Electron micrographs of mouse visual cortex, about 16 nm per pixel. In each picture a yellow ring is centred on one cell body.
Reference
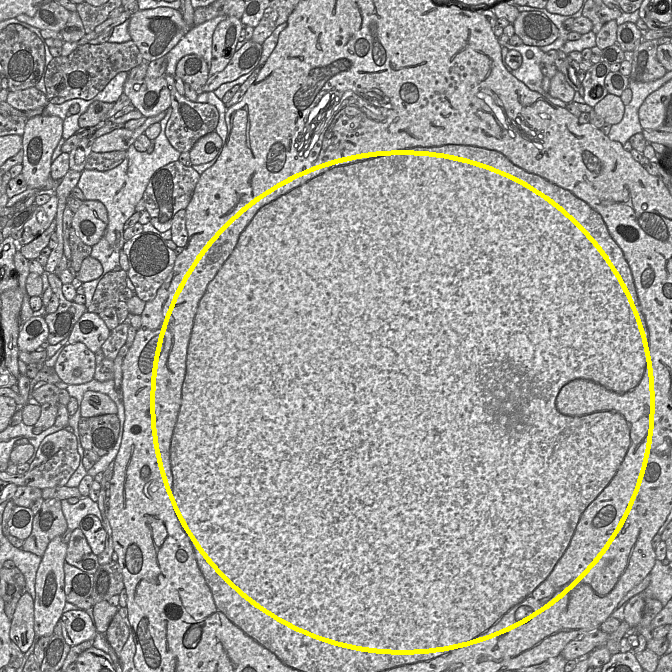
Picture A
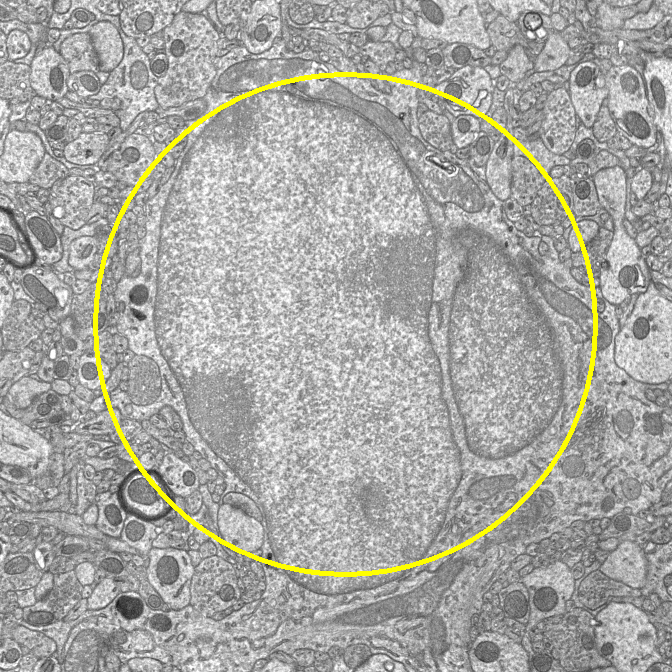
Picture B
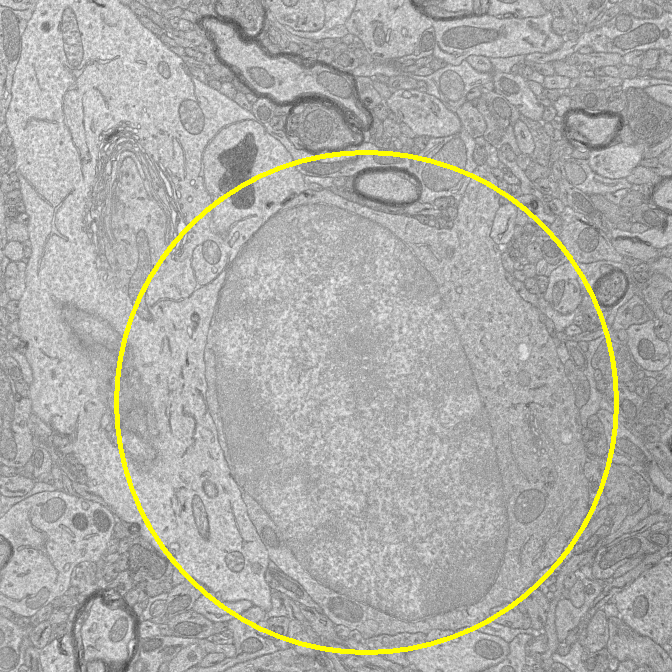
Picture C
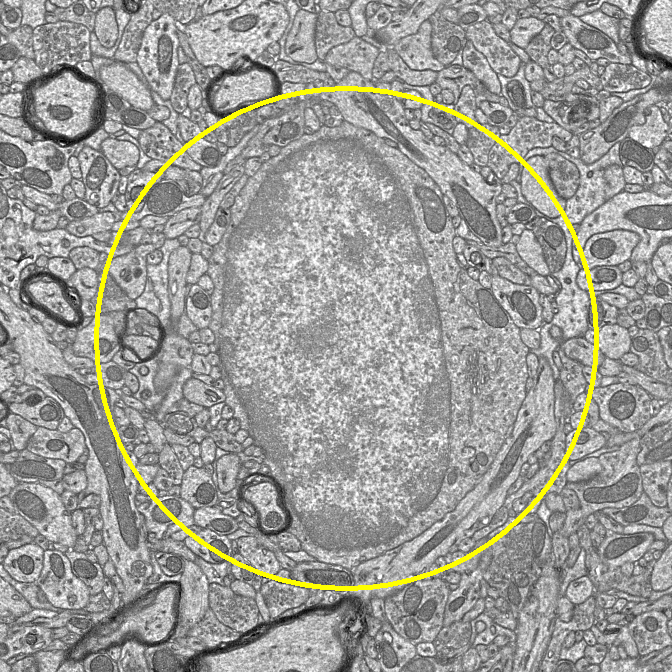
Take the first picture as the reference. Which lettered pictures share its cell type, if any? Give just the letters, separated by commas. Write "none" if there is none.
none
